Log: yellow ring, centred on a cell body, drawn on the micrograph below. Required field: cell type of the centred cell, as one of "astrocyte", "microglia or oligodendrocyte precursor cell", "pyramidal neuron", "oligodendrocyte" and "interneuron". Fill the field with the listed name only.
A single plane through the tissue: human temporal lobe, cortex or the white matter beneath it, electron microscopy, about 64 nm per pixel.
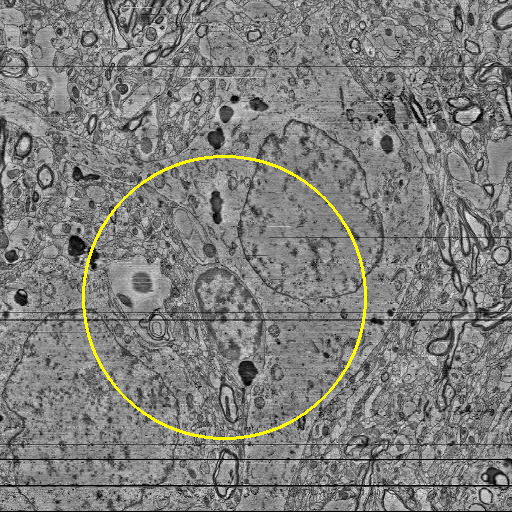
oligodendrocyte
